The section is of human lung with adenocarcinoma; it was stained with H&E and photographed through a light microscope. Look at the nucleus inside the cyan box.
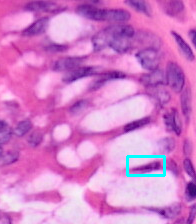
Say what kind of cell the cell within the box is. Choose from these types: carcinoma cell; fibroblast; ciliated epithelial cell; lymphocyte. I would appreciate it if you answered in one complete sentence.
Right, so the cell within the box is a ciliated epithelial cell, to answer that.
